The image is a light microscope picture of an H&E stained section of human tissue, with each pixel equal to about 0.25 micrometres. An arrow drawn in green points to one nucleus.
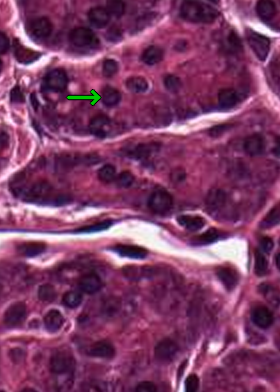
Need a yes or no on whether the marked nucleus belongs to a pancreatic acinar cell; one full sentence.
Yes, a pancreatic acinar cell contains the marked nucleus.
